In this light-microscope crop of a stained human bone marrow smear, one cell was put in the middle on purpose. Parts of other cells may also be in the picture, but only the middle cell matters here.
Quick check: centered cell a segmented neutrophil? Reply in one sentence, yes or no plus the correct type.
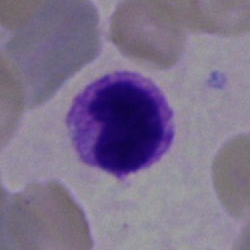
No, the cell at the centre is a basophil, which rules out a segmented neutrophil.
